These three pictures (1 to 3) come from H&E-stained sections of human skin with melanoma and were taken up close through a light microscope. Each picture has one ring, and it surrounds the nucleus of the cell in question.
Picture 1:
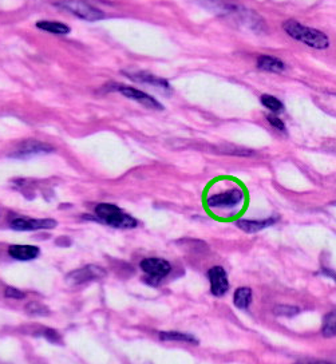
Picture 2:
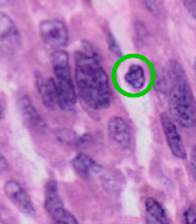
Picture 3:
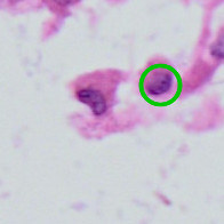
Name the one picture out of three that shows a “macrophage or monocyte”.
3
